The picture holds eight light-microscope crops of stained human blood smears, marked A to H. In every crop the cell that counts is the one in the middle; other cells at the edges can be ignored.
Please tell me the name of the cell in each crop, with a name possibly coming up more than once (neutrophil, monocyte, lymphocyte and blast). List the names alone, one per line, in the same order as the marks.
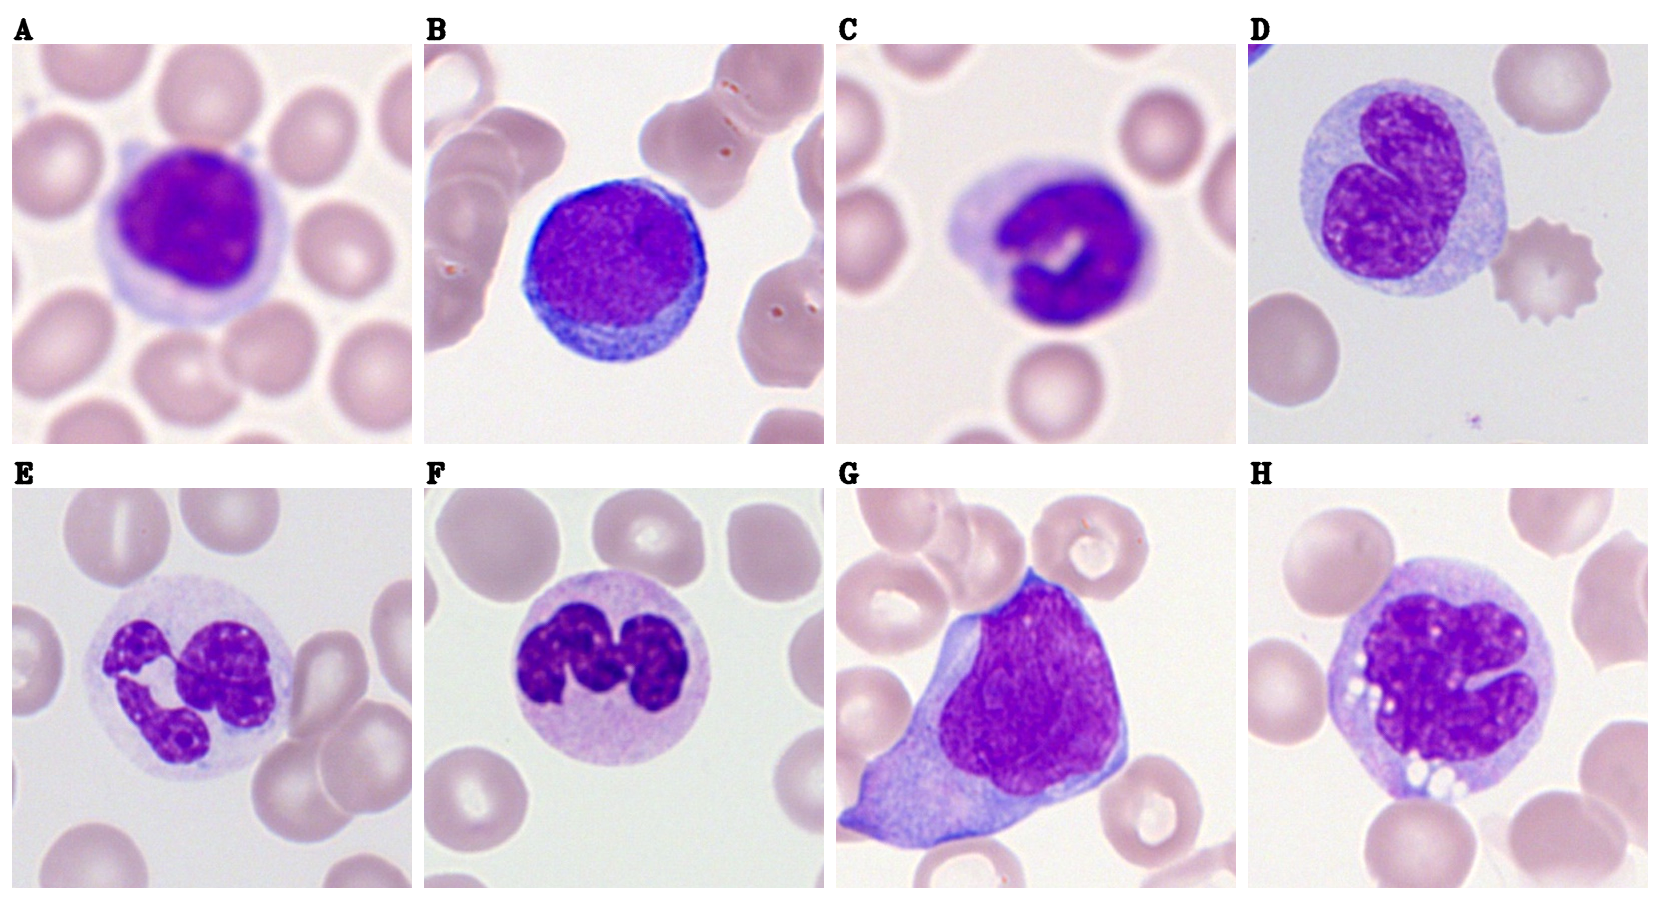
lymphocyte
blast
monocyte
monocyte
neutrophil
neutrophil
blast
monocyte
